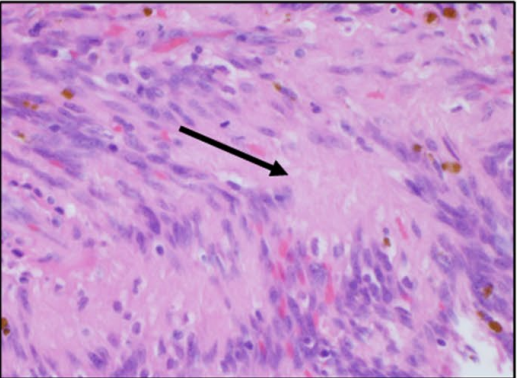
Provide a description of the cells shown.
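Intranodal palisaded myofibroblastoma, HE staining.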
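Here spindle cells with elongated purple nuclei surround a pale pink, almost cell-free zone of amianthoid fibers. Scattered golden-brown granules and a few red blood cells lie among the cells.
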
